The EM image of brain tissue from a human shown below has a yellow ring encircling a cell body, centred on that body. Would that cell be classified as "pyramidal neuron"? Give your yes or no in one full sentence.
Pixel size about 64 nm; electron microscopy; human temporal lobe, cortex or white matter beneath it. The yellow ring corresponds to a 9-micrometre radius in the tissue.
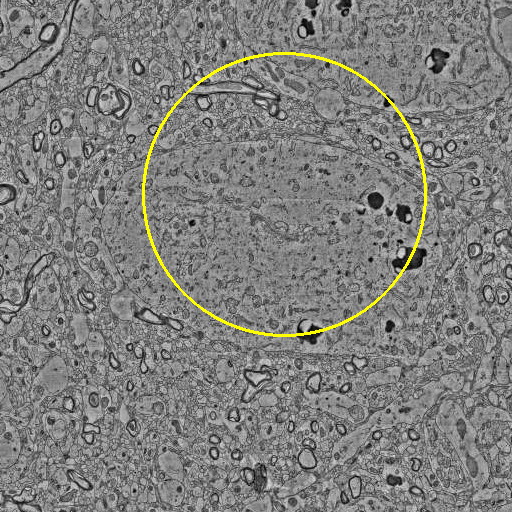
Yes, the cell at the centre of the ring in the picture falls in that class.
